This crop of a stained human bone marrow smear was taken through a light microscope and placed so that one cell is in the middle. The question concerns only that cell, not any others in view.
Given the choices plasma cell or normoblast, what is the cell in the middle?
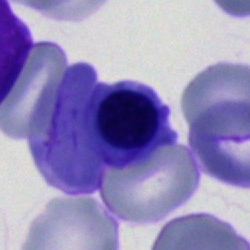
normoblast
